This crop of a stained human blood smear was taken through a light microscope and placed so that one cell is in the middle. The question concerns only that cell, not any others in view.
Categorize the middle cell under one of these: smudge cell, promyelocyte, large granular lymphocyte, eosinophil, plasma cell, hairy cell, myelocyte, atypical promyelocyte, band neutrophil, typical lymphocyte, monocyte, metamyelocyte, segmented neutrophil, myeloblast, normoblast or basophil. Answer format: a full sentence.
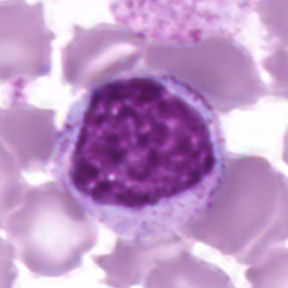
As for the central cell, it is a myelocyte.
